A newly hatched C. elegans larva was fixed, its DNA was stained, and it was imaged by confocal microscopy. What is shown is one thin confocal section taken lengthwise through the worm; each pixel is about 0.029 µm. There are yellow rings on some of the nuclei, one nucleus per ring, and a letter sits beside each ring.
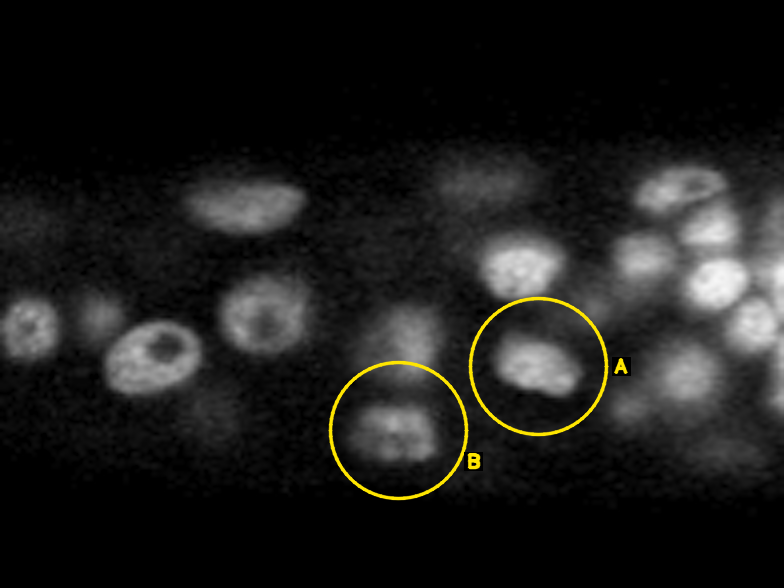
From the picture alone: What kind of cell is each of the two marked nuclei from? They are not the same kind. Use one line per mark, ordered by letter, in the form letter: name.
A: pharyngeal marginal cell
B: body wall muscle cell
